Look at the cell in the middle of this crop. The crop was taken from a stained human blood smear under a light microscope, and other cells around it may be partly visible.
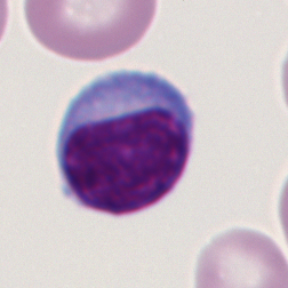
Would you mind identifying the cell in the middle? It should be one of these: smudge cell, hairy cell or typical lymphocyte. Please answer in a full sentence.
The central element of this crop is a cell, namely a typical lymphocyte.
